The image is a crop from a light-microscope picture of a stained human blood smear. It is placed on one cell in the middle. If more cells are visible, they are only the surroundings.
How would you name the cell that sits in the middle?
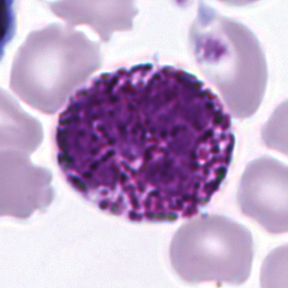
basophil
